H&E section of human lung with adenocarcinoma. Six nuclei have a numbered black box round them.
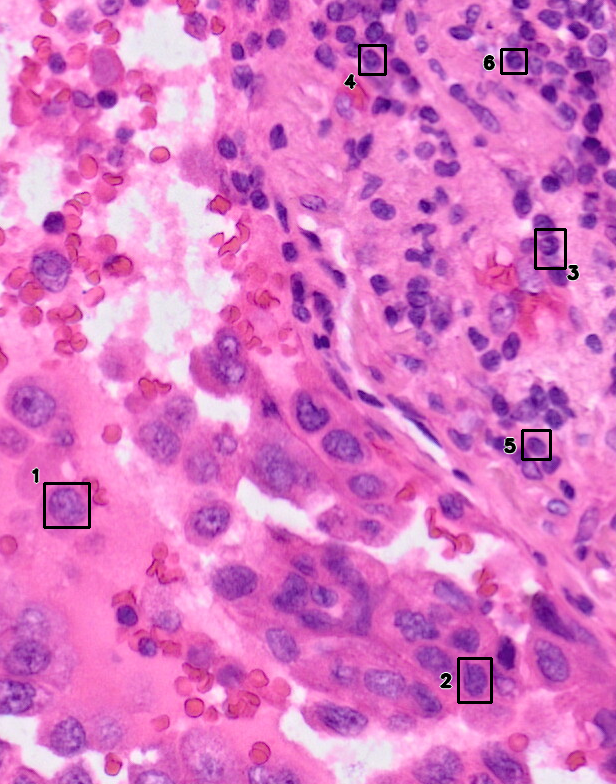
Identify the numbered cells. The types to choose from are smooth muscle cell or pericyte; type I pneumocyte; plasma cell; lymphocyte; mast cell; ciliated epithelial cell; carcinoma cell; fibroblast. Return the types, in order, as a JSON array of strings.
["carcinoma cell", "carcinoma cell", "lymphocyte", "lymphocyte", "lymphocyte", "lymphocyte"]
